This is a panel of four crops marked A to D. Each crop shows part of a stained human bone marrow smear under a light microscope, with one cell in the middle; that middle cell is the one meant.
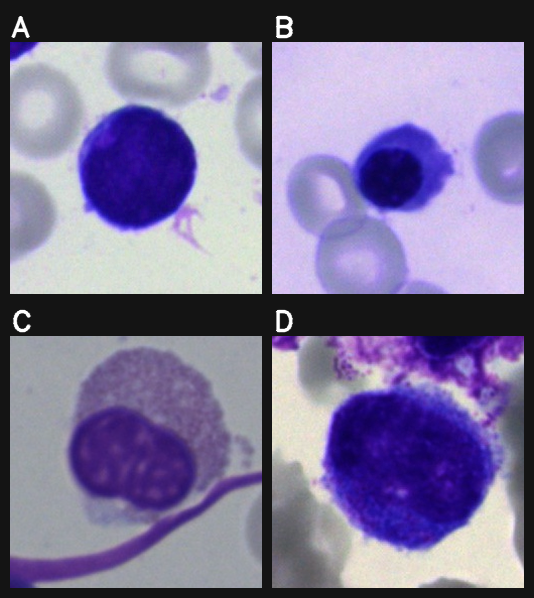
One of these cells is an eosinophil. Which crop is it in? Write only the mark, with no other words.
C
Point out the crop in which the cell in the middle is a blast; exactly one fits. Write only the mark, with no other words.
A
